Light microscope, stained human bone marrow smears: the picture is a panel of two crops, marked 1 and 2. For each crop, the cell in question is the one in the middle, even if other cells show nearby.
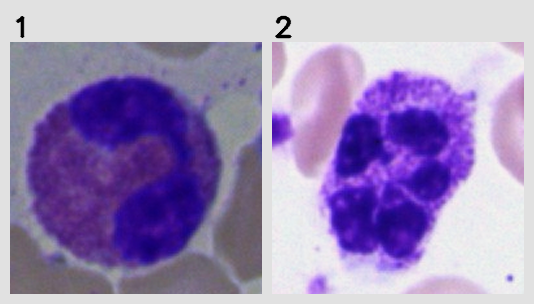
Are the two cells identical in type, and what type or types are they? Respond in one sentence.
No, crop 1 corresponds to an eosinophil, while crop 2 corresponds to a segmented neutrophil.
